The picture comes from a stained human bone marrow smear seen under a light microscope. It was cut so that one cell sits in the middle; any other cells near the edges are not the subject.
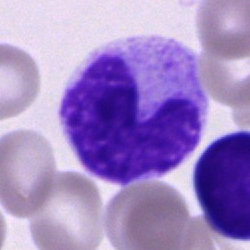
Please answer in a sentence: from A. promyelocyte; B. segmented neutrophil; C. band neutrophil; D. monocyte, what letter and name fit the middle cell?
Since the cell in the centre is a band neutrophil, the correct option is C.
